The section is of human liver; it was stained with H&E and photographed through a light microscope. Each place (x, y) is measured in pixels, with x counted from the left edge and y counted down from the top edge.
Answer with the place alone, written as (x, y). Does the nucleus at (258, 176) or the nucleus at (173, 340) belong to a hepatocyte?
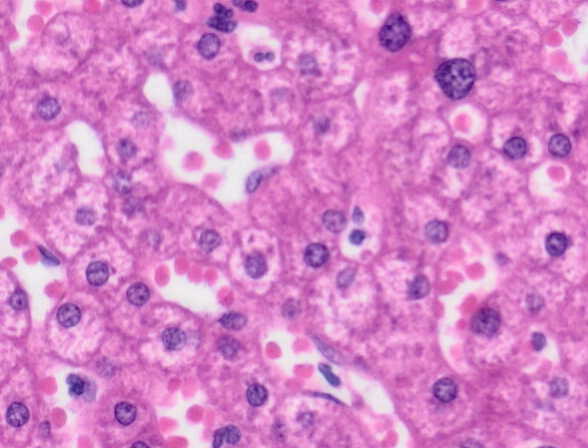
(173, 340)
